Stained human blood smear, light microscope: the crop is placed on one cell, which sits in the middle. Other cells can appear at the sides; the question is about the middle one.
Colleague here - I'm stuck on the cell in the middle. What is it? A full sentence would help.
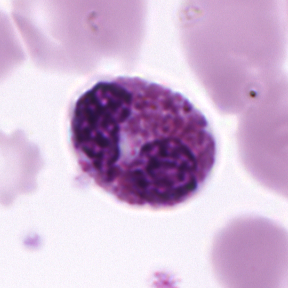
Classified as an eosinophil is the cell in the middle of this crop.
